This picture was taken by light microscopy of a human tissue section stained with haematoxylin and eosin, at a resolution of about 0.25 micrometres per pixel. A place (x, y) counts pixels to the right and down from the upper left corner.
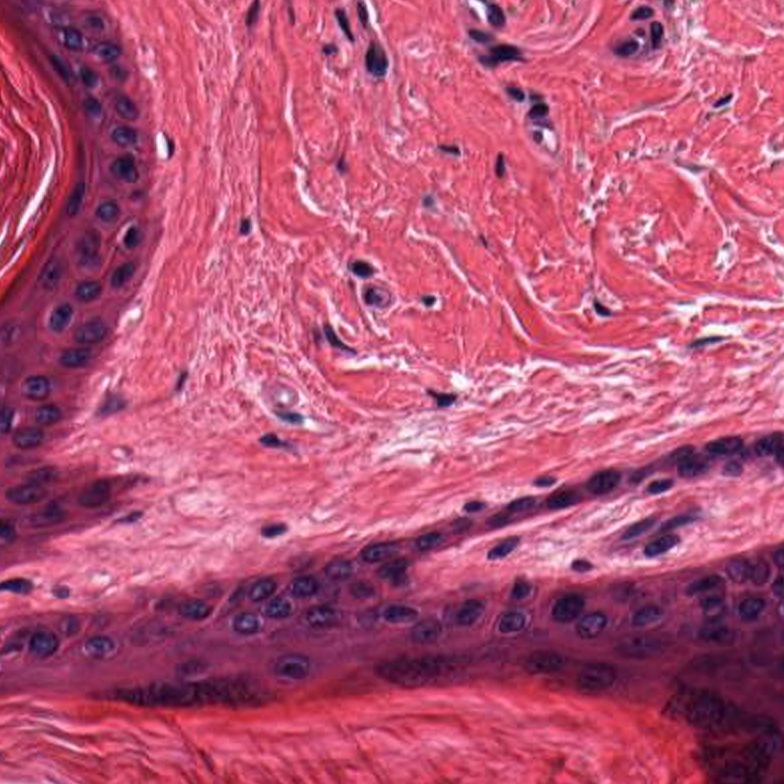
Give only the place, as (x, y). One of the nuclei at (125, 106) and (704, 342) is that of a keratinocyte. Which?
(125, 106)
